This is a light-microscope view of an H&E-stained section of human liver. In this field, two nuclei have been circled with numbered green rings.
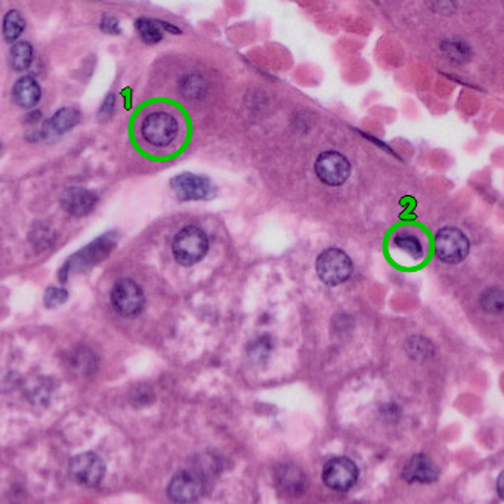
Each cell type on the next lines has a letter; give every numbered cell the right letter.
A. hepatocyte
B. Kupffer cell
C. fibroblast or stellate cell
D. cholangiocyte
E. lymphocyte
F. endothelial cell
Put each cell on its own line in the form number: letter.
1: A
2: C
